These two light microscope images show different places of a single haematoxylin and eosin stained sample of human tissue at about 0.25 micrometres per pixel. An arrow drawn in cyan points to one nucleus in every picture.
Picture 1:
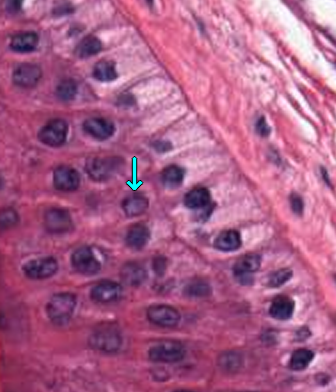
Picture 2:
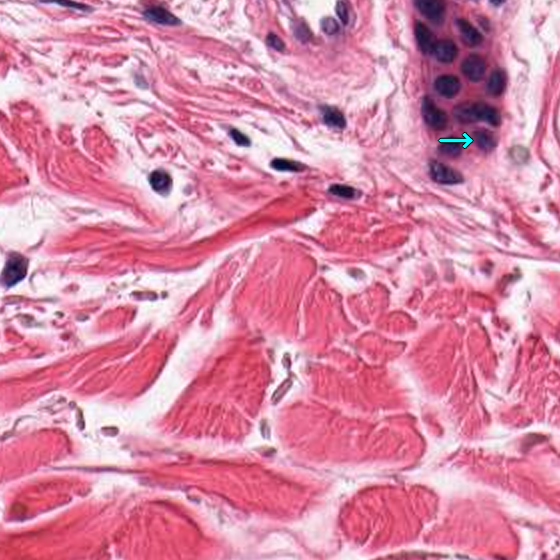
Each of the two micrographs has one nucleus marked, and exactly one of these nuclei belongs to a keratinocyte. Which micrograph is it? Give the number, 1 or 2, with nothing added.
1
